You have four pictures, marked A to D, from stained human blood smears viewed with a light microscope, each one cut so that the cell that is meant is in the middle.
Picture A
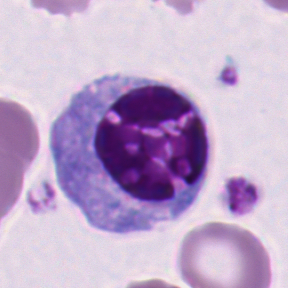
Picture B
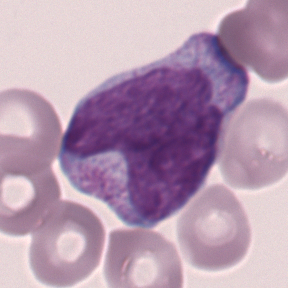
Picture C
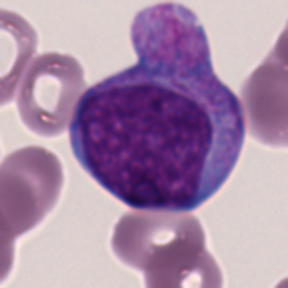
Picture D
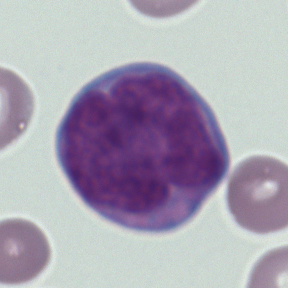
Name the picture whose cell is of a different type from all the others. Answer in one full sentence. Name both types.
Picture A is the odd one out: it shows a plasma cell, while the others show atypical promyelocytes.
